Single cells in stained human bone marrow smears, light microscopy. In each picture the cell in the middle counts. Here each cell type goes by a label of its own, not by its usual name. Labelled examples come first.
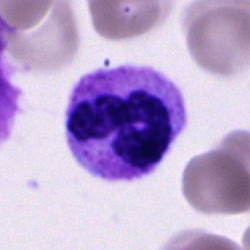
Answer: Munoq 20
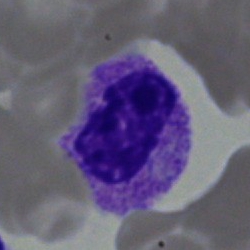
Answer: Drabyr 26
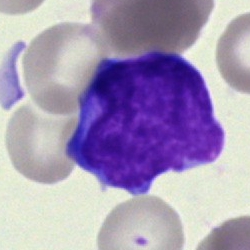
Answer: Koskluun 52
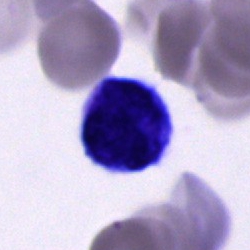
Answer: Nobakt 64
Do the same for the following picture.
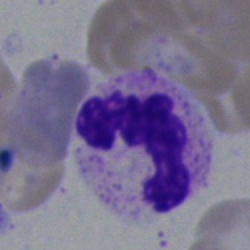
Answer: Munoq 20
